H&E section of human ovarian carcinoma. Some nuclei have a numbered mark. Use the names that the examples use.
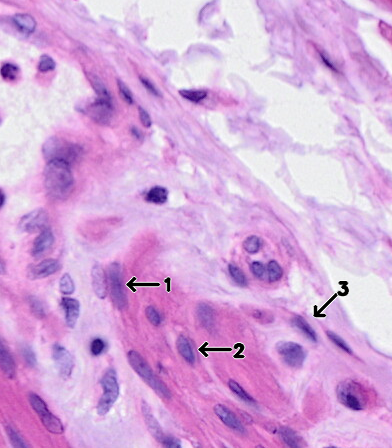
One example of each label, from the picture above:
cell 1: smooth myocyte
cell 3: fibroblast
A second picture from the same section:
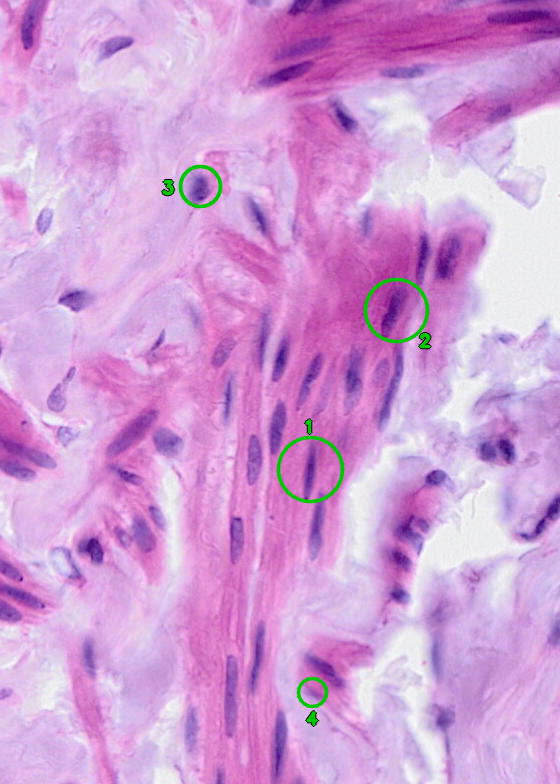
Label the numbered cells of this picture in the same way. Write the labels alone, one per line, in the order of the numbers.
smooth myocyte
smooth myocyte
fibroblast
smooth myocyte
